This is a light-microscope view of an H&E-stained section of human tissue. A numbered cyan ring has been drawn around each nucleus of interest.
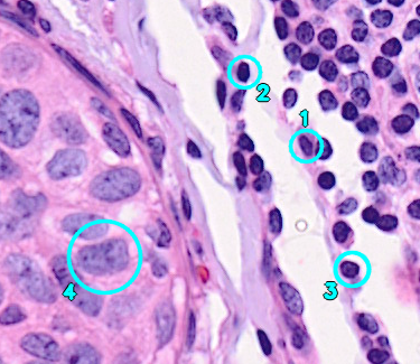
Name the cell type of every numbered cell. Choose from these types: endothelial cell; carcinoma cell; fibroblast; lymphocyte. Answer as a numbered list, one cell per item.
1. lymphocyte
2. lymphocyte
3. lymphocyte
4. carcinoma cell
